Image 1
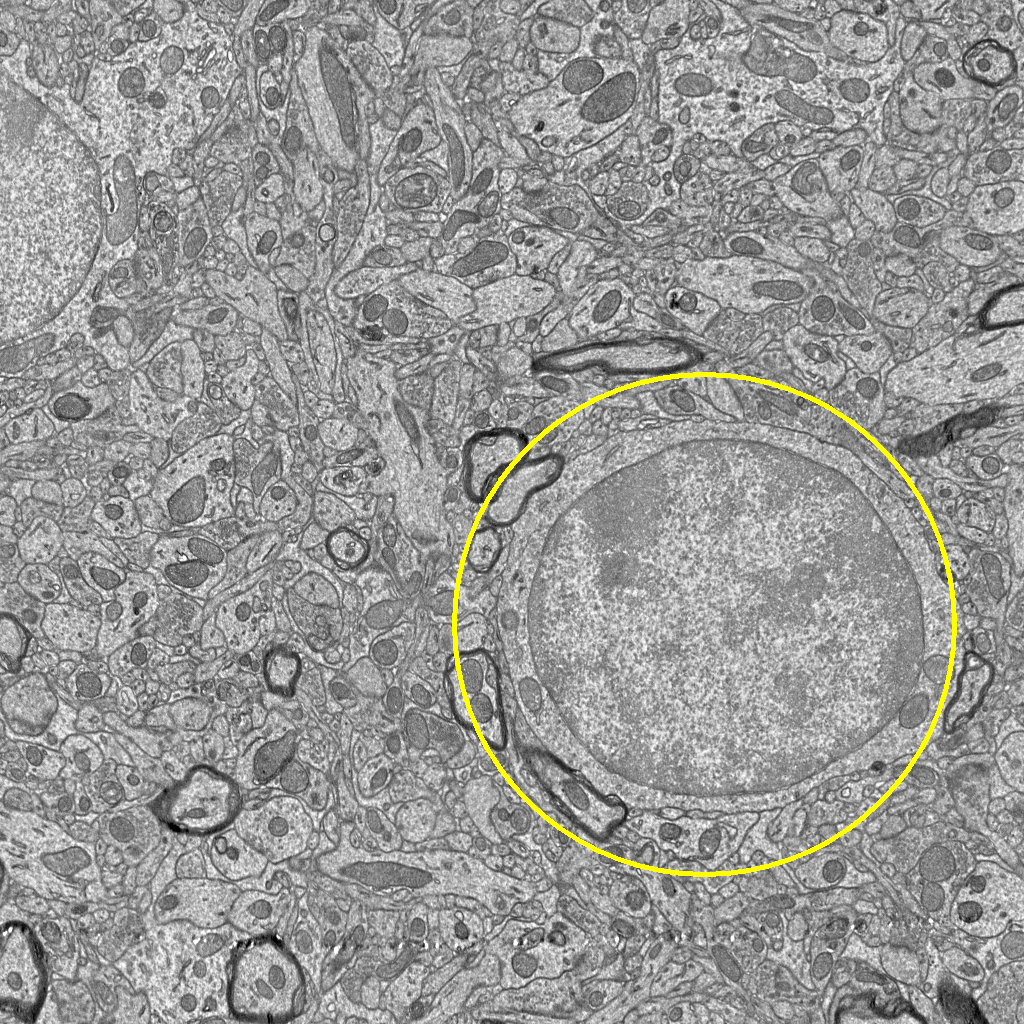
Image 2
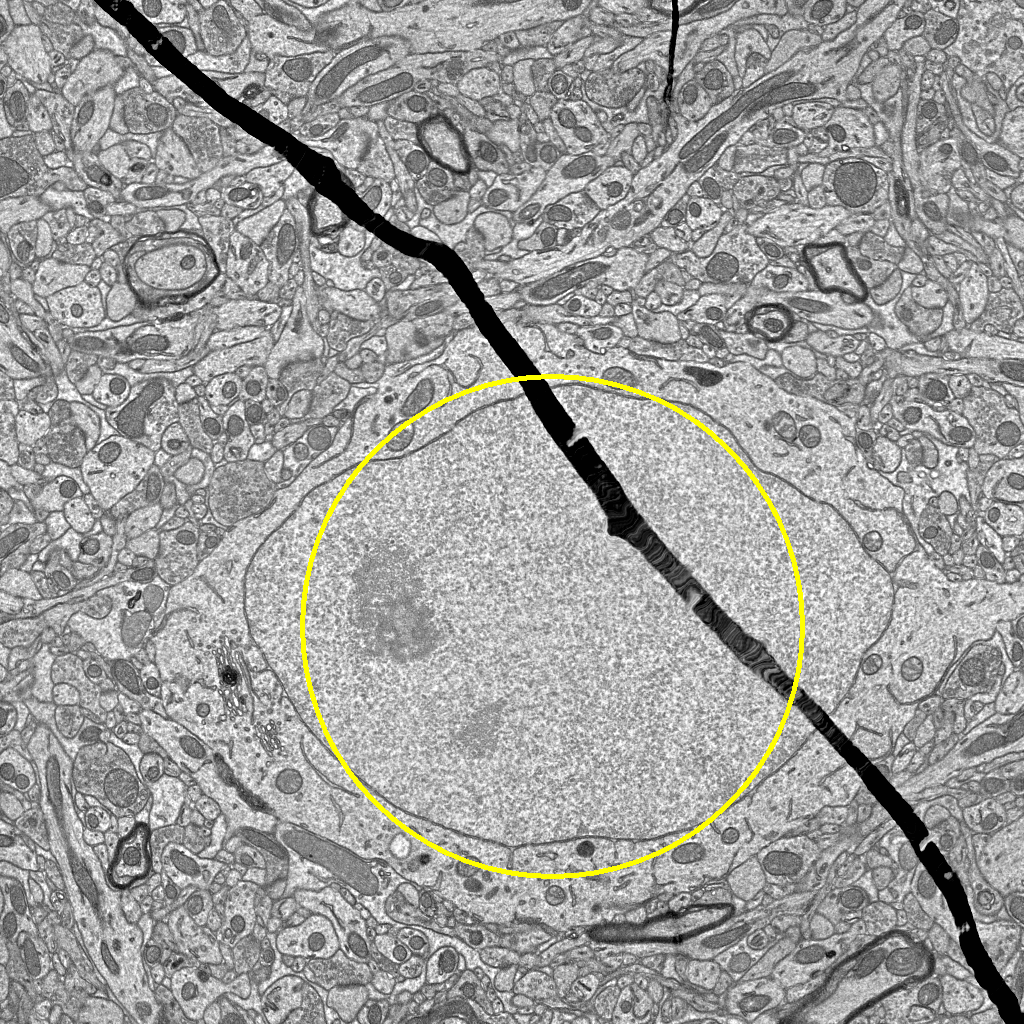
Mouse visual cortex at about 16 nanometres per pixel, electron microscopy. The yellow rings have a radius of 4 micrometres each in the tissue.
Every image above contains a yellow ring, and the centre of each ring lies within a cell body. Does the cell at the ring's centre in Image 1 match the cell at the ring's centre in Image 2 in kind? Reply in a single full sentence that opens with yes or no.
No, the cell at the ring's centre in Image 1 is a separate kind from that in Image 2.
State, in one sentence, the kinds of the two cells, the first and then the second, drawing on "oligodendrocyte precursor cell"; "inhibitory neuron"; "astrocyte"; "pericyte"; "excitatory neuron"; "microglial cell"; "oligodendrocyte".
The second picture holds an excitatory neuron in its ring, and the first holds an oligodendrocyte.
